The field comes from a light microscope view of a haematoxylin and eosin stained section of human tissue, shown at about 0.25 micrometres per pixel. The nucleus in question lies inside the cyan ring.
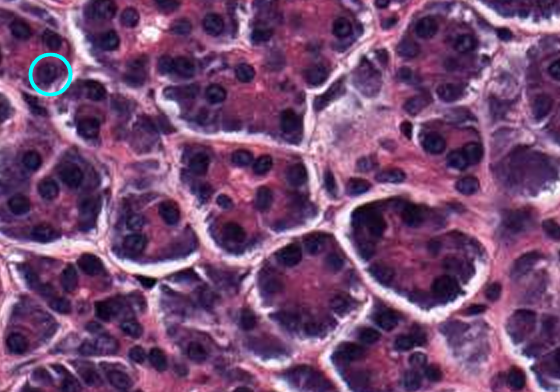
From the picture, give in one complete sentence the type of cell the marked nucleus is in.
The owner of the marked nucleus is a pancreatic acinar cell.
